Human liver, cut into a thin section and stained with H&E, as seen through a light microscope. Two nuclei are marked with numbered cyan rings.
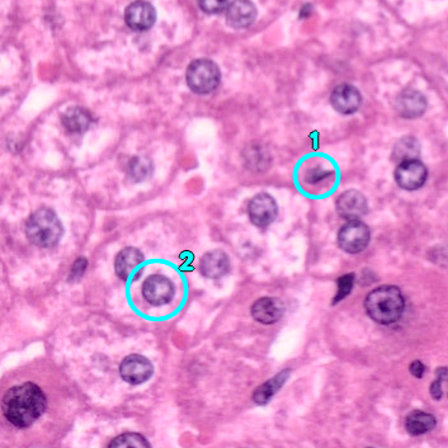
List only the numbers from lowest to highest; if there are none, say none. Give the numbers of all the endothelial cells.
1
